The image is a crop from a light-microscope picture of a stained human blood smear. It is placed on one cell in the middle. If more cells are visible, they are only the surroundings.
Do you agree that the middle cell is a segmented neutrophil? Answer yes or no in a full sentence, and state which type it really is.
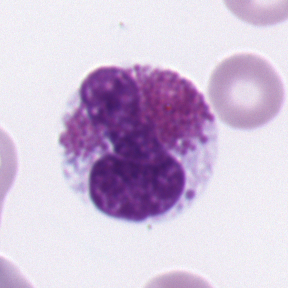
No, the cell at the centre is an eosinophil, which rules out a segmented neutrophil.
